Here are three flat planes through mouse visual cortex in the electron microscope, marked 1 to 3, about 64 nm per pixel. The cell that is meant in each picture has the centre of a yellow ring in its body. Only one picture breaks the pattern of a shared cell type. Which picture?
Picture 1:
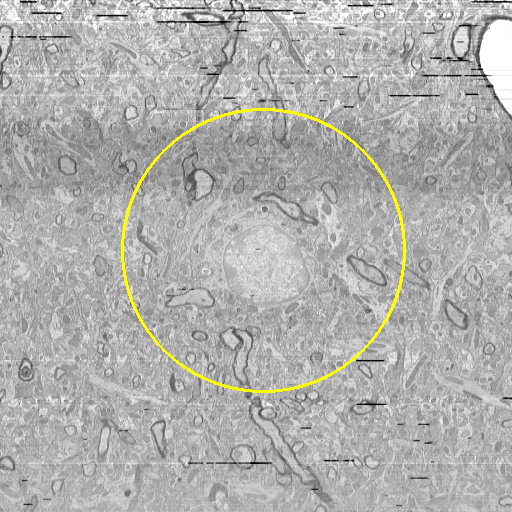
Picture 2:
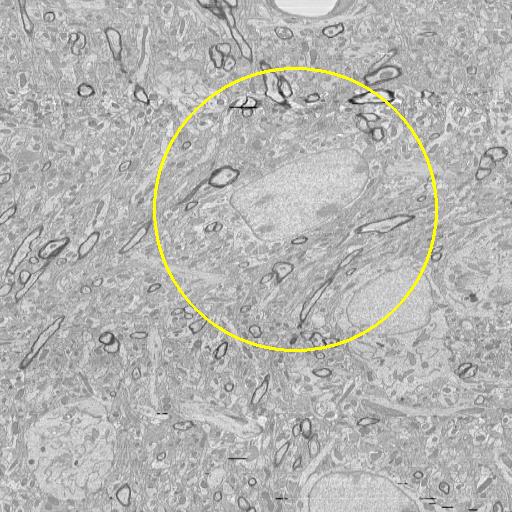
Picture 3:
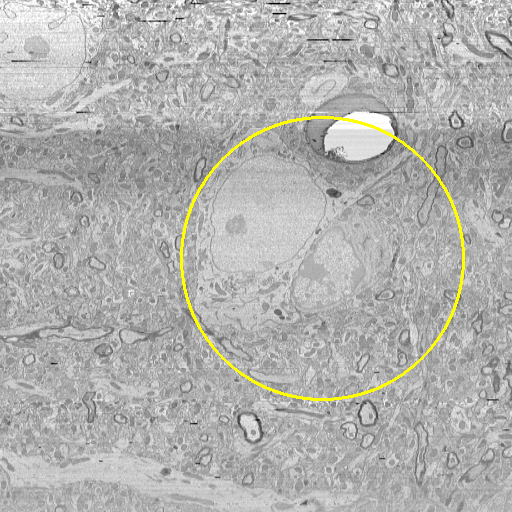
The others show oligodendrocytes, but picture 2 shows an astrocyte.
